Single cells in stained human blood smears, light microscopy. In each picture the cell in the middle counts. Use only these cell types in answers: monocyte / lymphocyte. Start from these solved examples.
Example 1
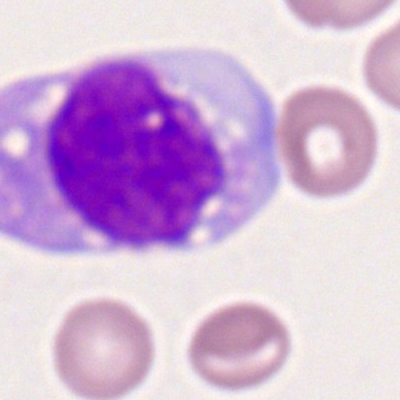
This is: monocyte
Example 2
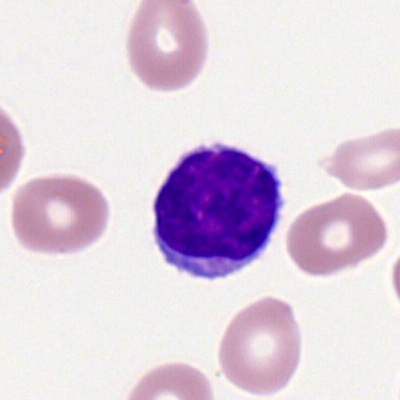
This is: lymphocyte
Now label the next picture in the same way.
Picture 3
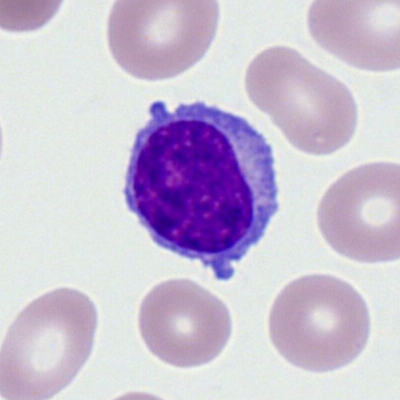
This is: lymphocyte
